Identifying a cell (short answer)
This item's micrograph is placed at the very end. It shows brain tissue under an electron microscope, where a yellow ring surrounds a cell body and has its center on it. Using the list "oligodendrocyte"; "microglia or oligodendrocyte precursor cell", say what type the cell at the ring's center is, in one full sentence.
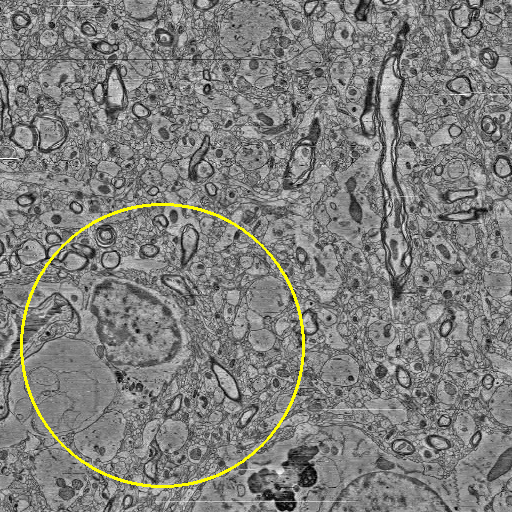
This picture shows a microglial cell or oligodendrocyte precursor cell at the center of the yellow ring drawn on it.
